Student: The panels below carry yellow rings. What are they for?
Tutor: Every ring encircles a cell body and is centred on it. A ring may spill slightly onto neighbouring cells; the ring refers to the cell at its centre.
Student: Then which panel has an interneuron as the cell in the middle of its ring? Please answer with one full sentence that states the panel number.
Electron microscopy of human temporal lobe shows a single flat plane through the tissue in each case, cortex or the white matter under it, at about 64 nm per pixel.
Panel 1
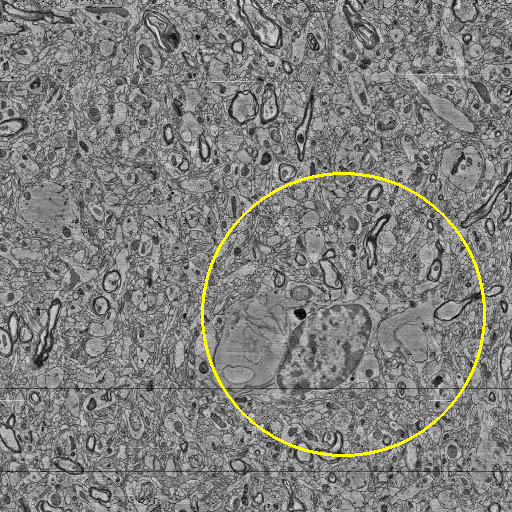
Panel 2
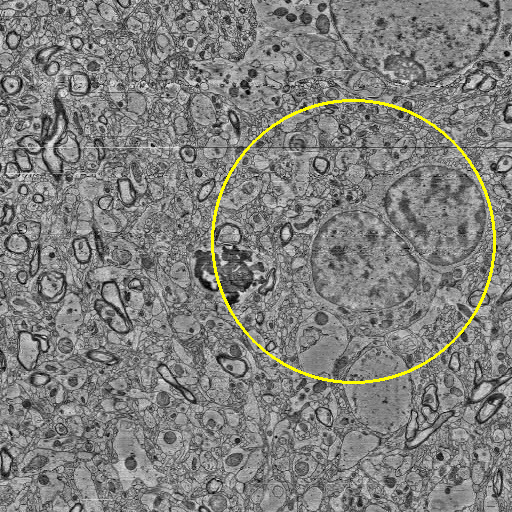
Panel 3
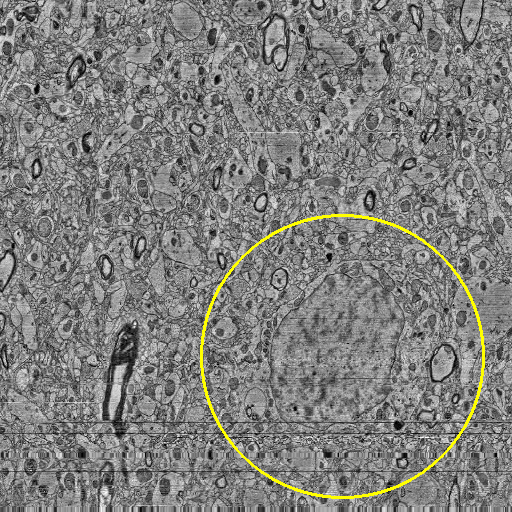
In Panel 3, the cell centred in the ring is the one sought.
